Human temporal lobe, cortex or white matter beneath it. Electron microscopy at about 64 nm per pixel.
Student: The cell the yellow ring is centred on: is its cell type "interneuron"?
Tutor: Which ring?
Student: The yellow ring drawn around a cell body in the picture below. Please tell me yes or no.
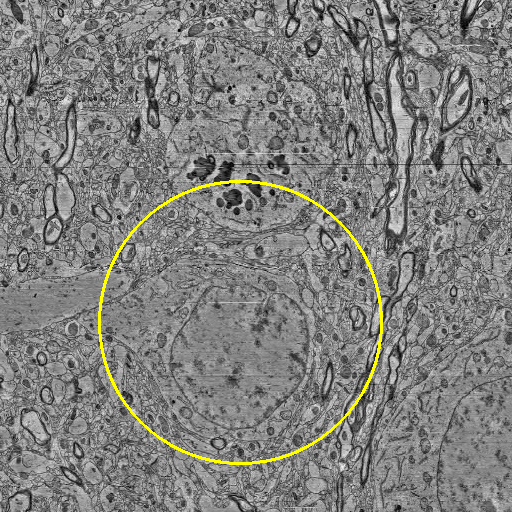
yes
